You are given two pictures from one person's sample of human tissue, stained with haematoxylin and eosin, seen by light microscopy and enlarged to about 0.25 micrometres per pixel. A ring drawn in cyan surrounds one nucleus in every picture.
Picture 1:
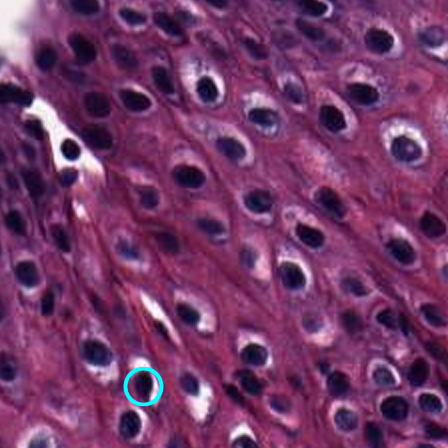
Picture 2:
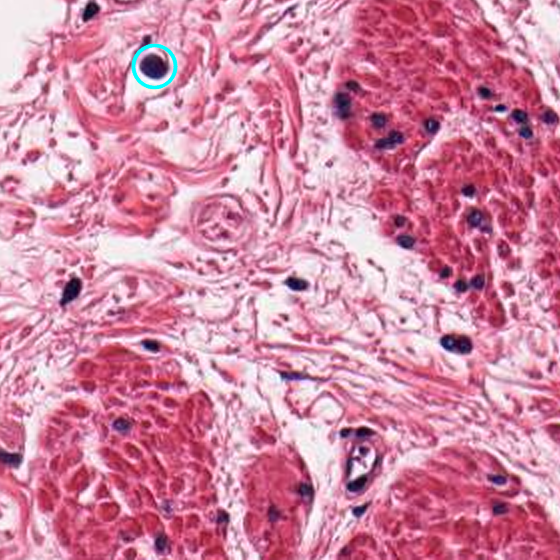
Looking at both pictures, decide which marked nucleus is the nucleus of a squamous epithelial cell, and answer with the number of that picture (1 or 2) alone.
1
